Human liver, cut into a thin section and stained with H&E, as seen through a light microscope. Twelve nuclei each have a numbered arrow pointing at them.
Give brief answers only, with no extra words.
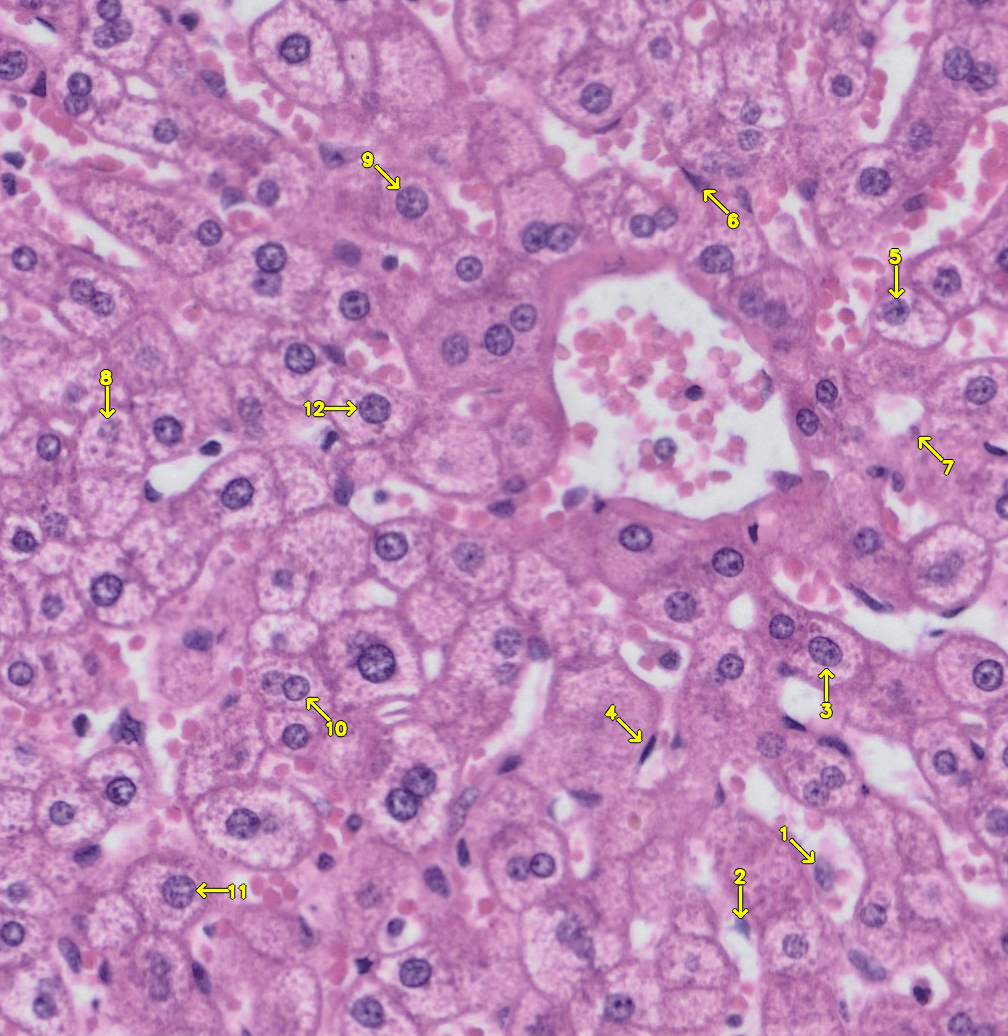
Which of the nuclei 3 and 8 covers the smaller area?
8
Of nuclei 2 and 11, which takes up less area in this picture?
2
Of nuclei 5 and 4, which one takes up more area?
5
